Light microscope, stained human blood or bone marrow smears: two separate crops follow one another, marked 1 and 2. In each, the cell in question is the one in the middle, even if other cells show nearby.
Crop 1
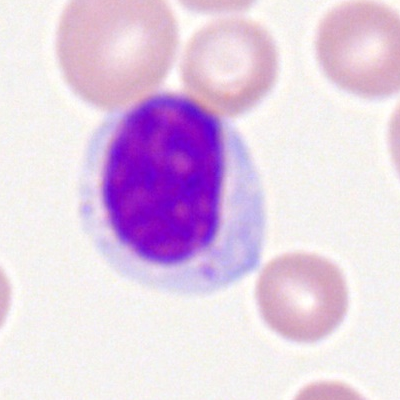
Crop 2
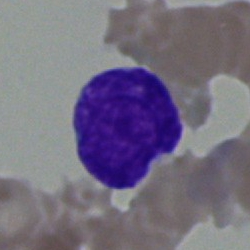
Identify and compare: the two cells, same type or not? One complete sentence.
No: a lymphocyte sits in crop 1, and a blast sits in crop 2.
